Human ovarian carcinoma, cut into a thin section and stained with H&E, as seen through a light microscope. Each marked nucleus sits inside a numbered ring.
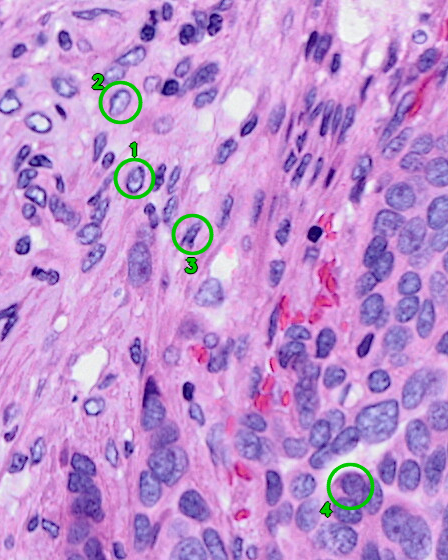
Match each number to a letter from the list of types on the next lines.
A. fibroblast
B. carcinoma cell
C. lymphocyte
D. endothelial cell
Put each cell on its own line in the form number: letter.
1: A
2: A
3: A
4: B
